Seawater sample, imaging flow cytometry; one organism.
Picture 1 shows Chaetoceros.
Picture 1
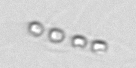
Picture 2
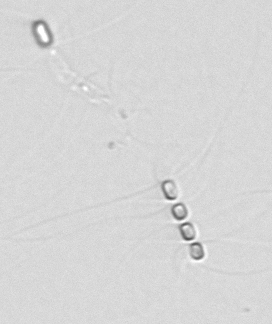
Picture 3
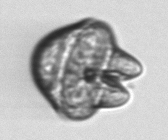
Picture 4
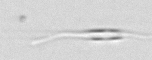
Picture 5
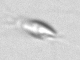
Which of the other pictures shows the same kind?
Picture 2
